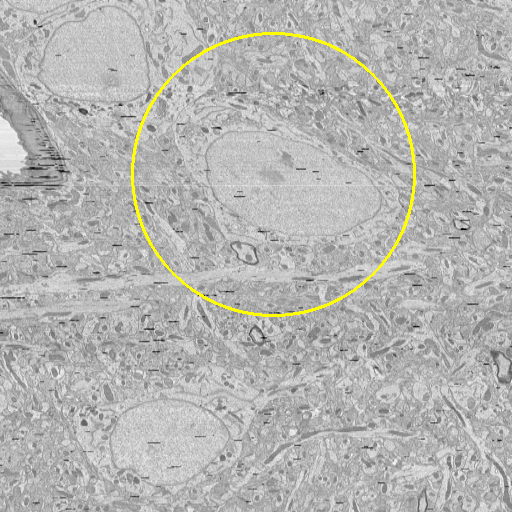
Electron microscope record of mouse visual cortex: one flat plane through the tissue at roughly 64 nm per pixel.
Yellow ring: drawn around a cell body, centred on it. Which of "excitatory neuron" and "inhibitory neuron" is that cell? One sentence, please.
That cell body is from an inhibitory neuron.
